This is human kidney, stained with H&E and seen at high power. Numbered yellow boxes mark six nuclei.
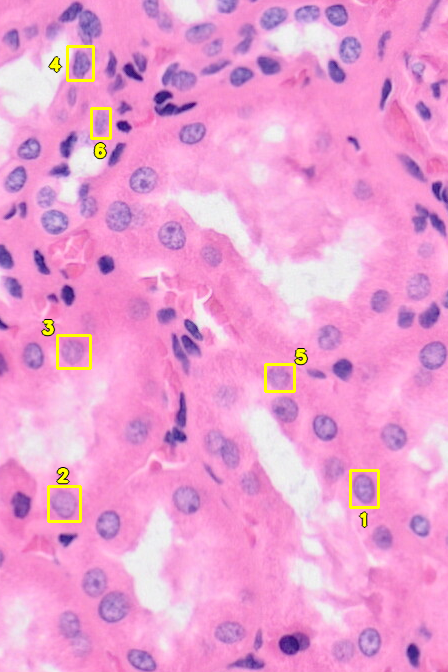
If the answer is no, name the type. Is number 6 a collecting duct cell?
Yes.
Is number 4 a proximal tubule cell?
No, it is a collecting duct cell.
